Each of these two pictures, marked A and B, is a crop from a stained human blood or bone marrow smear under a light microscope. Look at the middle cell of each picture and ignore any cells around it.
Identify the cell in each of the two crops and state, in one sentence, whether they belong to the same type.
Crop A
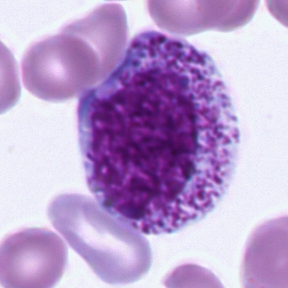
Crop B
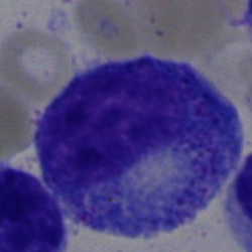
No, a promyelocyte is depicted in crop B, whereas a myelocyte is depicted in crop A.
